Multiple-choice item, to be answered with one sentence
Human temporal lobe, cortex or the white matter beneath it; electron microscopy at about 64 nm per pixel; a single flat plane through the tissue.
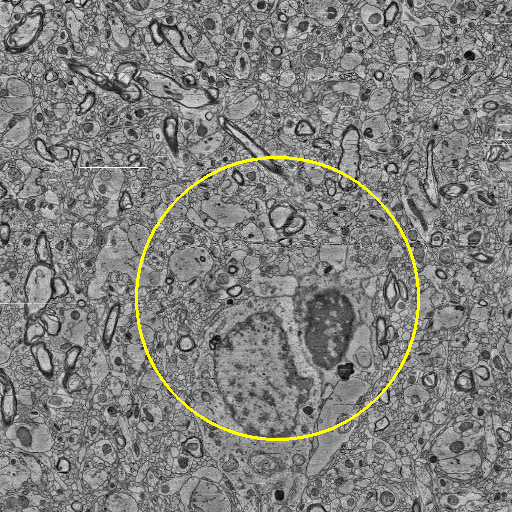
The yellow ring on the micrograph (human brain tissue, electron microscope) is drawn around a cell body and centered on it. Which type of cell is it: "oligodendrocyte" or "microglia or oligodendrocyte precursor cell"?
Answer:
The ring is centered on a microglial cell or oligodendrocyte precursor cell.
